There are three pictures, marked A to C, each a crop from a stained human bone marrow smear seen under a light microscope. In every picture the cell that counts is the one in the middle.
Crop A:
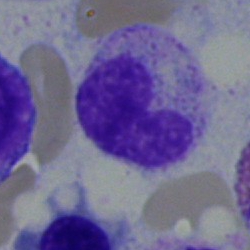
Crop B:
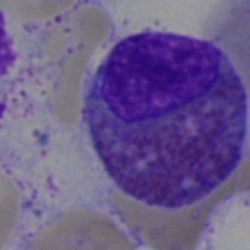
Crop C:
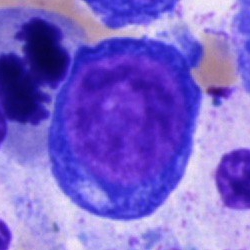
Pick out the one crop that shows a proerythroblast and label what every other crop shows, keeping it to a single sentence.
The cell shown in crop C is a proerythroblast, whereas crop A is a band neutrophil and crop B is an eosinophil.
